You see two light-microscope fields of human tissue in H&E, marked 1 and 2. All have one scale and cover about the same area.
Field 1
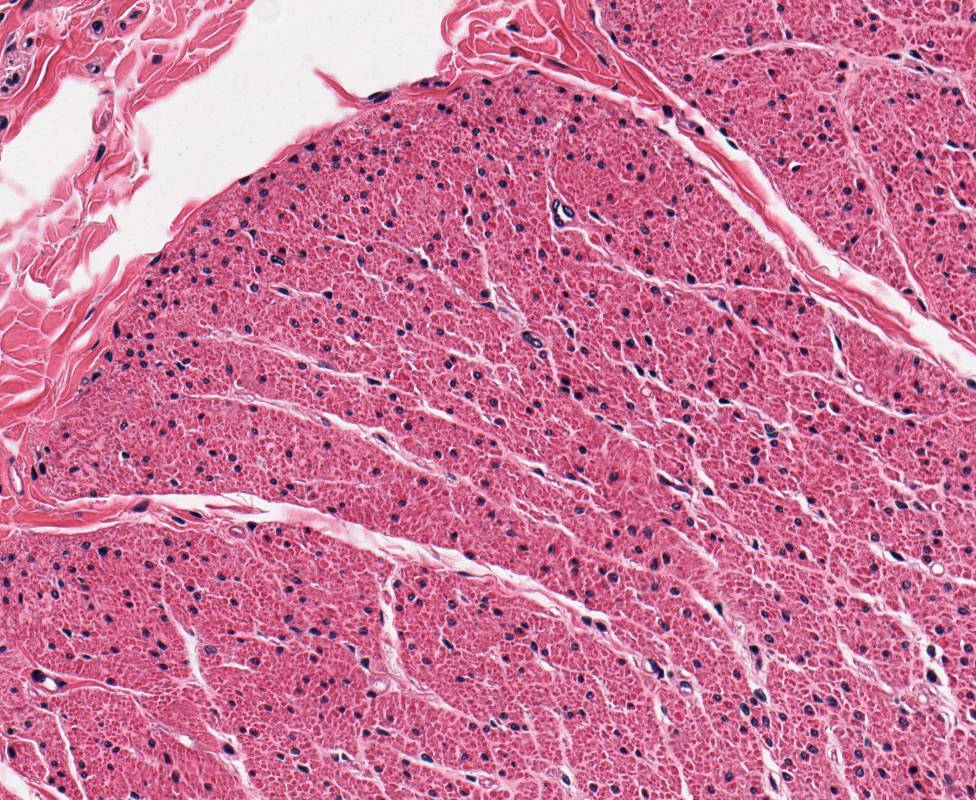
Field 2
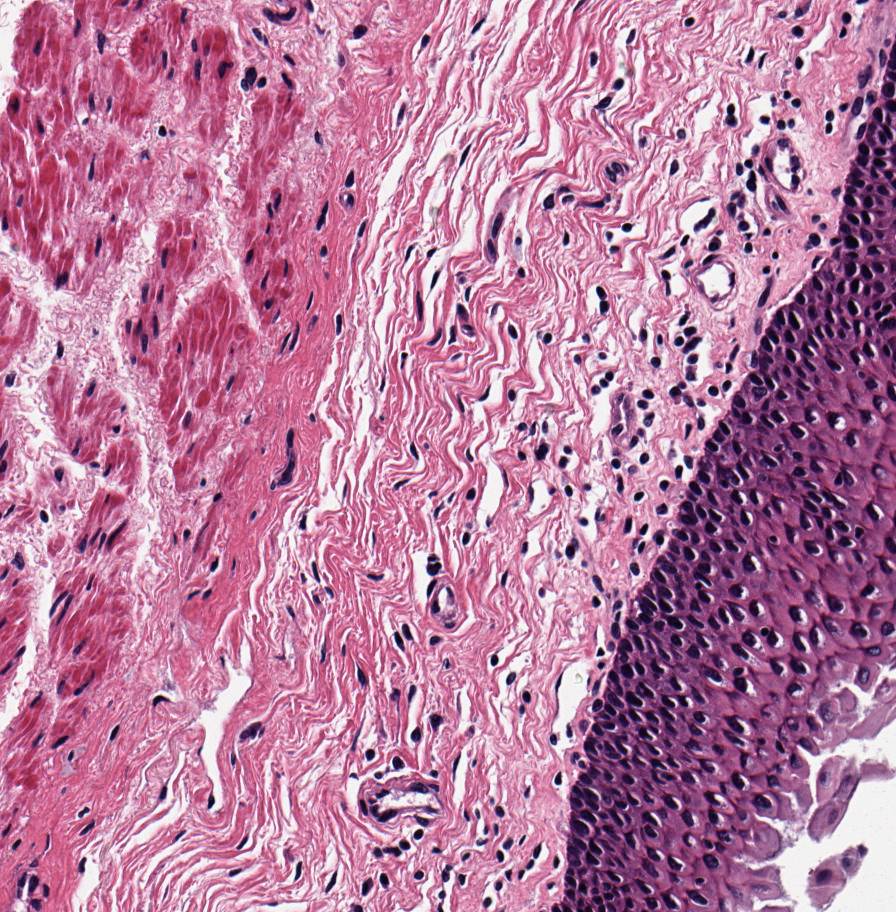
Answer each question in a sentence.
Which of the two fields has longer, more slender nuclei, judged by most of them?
On the whole the nuclei of field 2 are more drawn out than those of field 1.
